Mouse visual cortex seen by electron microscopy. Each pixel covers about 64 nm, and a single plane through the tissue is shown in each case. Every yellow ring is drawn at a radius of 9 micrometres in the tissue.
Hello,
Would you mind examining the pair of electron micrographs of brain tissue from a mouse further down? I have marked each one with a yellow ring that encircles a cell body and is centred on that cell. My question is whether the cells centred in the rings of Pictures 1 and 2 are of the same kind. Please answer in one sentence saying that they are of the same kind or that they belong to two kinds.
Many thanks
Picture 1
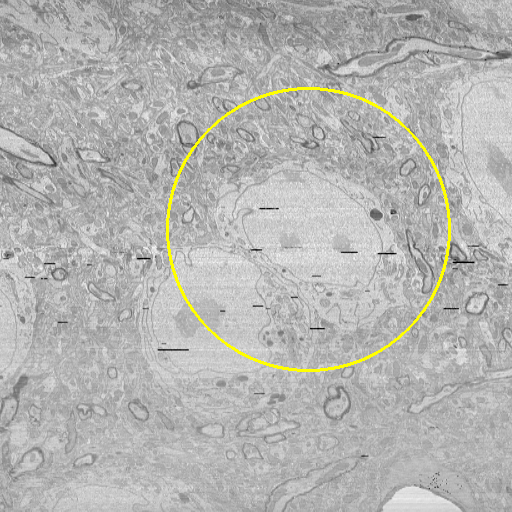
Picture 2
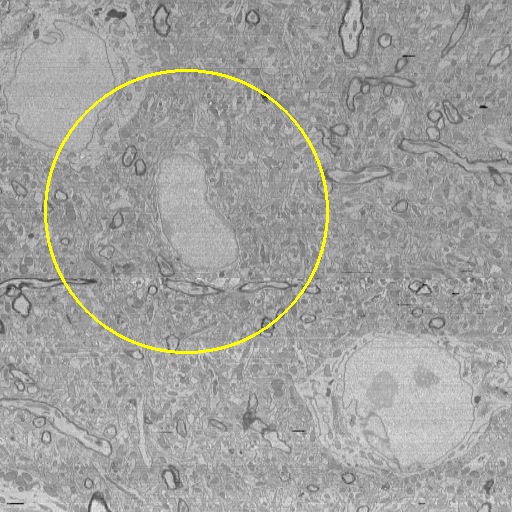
In Pictures 1 and 2, the cells at the heart of the rings belong to two kinds.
